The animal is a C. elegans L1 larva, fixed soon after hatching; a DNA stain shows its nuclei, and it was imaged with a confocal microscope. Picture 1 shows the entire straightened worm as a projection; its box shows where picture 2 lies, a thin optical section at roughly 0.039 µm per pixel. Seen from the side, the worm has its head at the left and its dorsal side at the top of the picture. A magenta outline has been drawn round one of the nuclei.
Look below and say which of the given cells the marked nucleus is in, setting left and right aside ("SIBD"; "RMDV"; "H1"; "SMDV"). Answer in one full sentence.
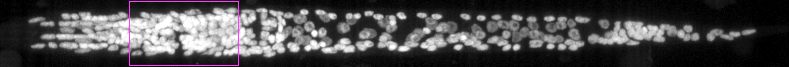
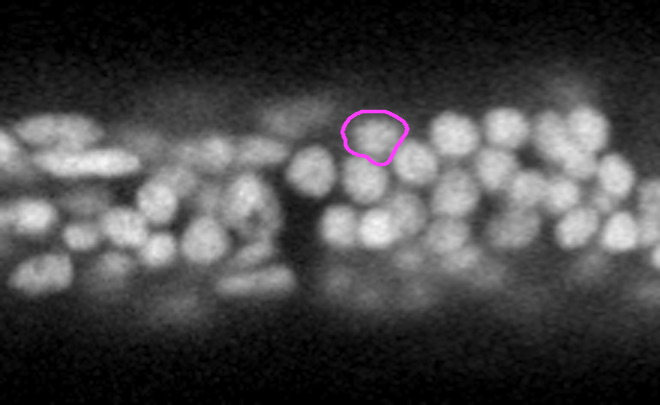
The cell whose nucleus is marked is SMDV, a neuron.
